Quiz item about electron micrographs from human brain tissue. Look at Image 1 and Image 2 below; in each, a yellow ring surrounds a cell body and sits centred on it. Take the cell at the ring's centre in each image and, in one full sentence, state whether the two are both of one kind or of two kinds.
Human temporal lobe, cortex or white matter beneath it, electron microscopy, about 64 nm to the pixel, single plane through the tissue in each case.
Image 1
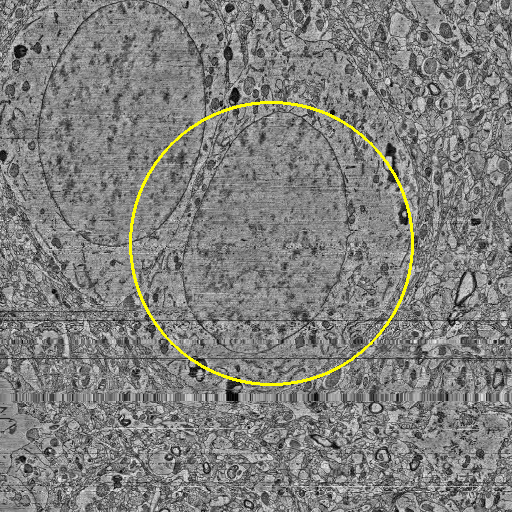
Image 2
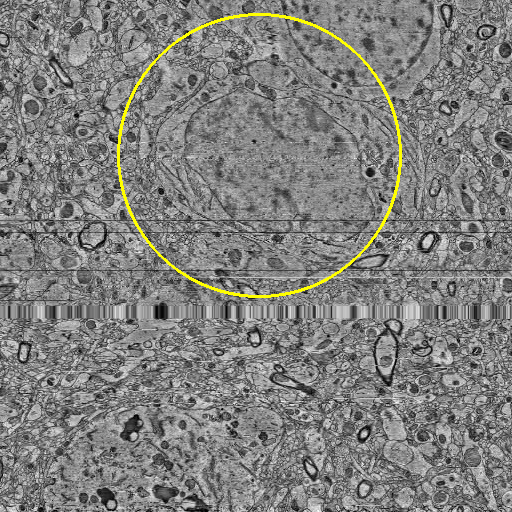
In Image 1 and Image 2, the cells at the ring centres are of two kinds.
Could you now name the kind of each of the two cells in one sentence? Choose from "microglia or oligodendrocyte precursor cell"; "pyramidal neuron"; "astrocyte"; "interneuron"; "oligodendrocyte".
The first ring encloses a pyramidal neuron; the second ring encloses an interneuron.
